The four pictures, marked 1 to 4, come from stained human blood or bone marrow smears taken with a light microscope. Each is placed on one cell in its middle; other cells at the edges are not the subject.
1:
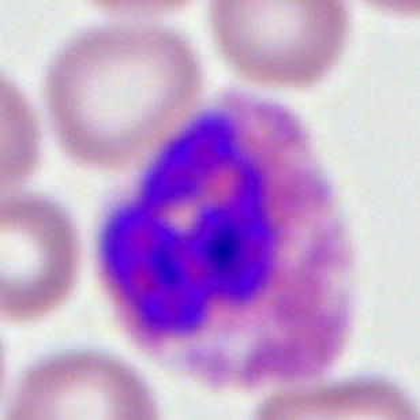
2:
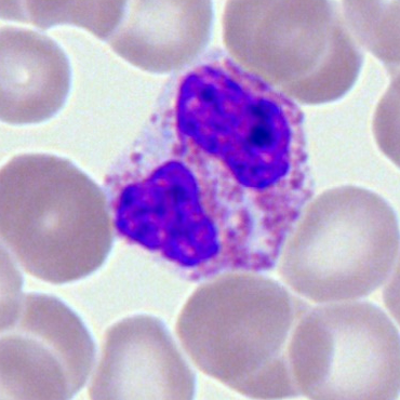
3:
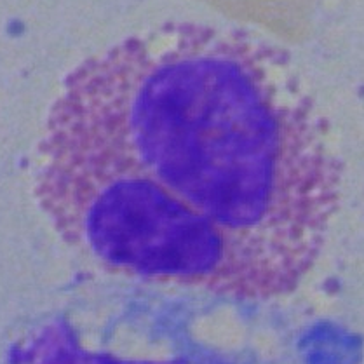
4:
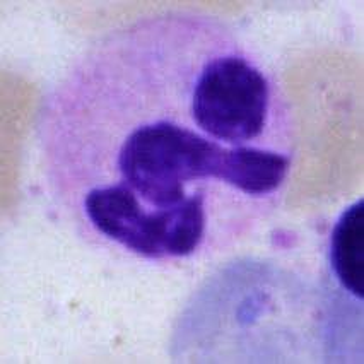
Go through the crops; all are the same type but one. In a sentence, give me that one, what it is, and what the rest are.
Crop 4 contains a segmented neutrophil, setting it apart from the other crops, which all contain eosinophils.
